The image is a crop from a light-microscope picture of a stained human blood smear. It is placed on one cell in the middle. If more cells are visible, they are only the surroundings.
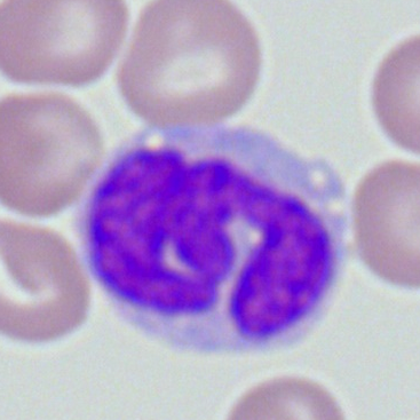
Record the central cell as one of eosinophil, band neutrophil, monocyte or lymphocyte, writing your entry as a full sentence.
Looking at the middle of the crop, the cell there is a monocyte.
